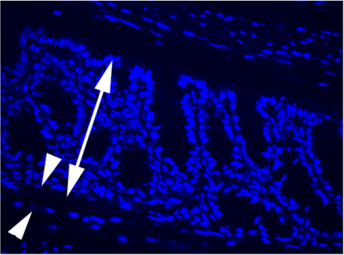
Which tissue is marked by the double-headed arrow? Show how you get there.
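Mucosa. The double-headed arrow spans the layer of regular crypts lined by densely packed nuclei. This layer lies on the luminal side of the section.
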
